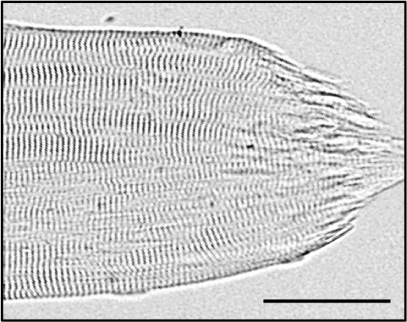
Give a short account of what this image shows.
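This is a single isolated skeletal muscle fiber seen in brightfield at high magnification. Fine, regular transverse striations run across the whole width of the fiber, the repeating banding of its sarcomeres. Toward the right the fiber narrows to a tapered end that breaks up into several fine, frayed projections.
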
